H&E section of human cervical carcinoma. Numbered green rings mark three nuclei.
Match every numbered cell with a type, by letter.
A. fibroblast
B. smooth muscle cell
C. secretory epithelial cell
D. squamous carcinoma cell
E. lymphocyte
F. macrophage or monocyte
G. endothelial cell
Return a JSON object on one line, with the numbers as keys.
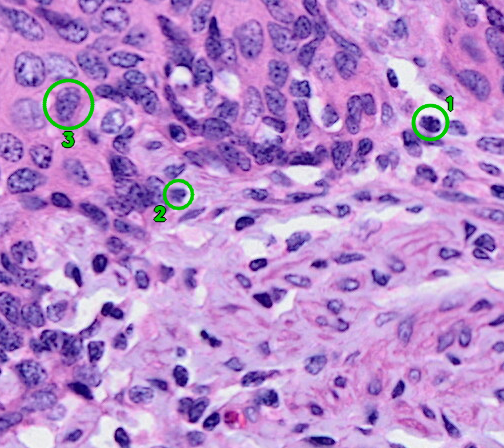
{"1": "E", "2": "E", "3": "D"}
